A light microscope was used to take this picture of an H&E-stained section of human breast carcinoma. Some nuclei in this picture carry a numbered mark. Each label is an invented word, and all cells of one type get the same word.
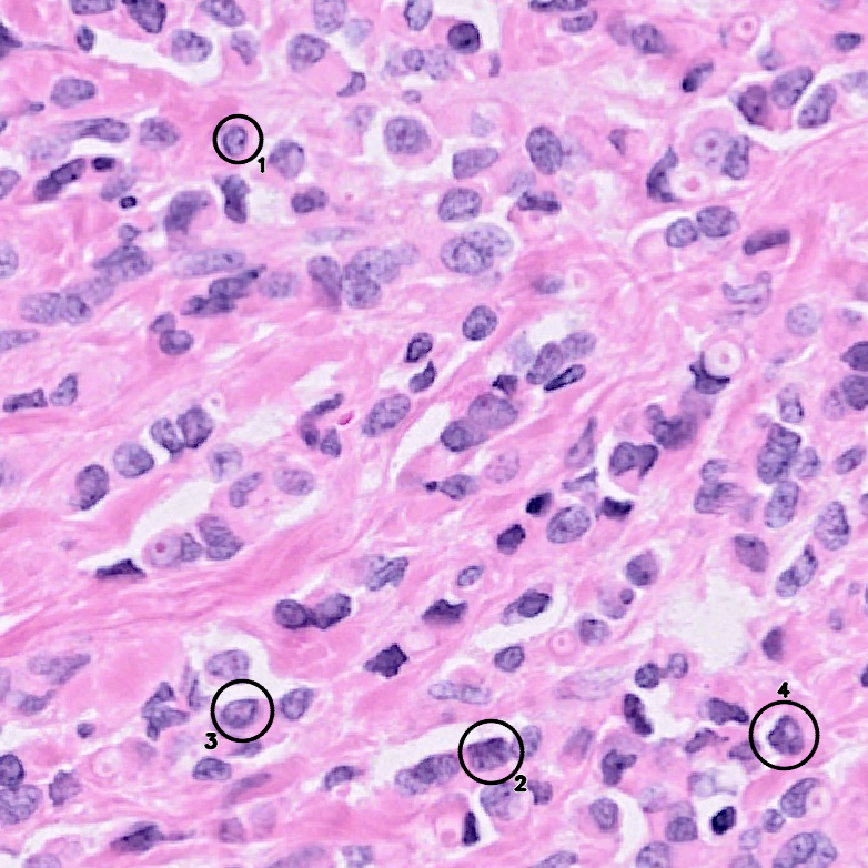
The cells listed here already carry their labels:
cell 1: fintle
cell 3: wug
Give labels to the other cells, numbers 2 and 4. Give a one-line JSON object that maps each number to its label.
{"2": "wug", "4": "wug"}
